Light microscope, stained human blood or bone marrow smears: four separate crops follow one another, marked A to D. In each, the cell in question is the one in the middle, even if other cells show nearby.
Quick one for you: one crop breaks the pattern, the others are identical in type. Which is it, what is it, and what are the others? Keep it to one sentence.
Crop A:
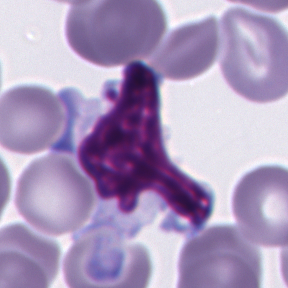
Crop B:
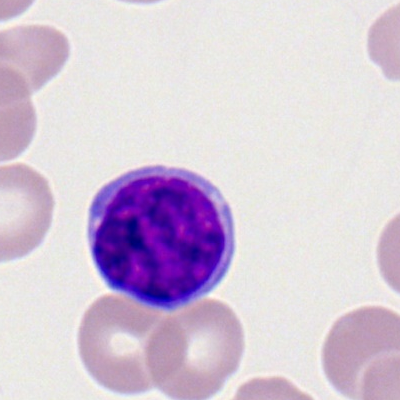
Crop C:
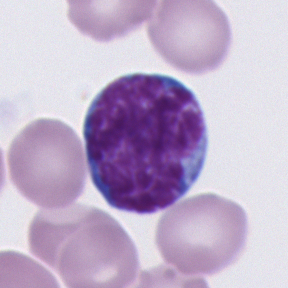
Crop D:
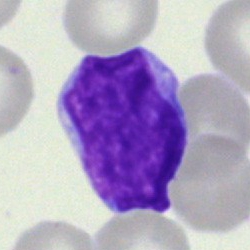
Crop D holds a blast, unlike the remaining crops, all of which hold lymphocytes.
